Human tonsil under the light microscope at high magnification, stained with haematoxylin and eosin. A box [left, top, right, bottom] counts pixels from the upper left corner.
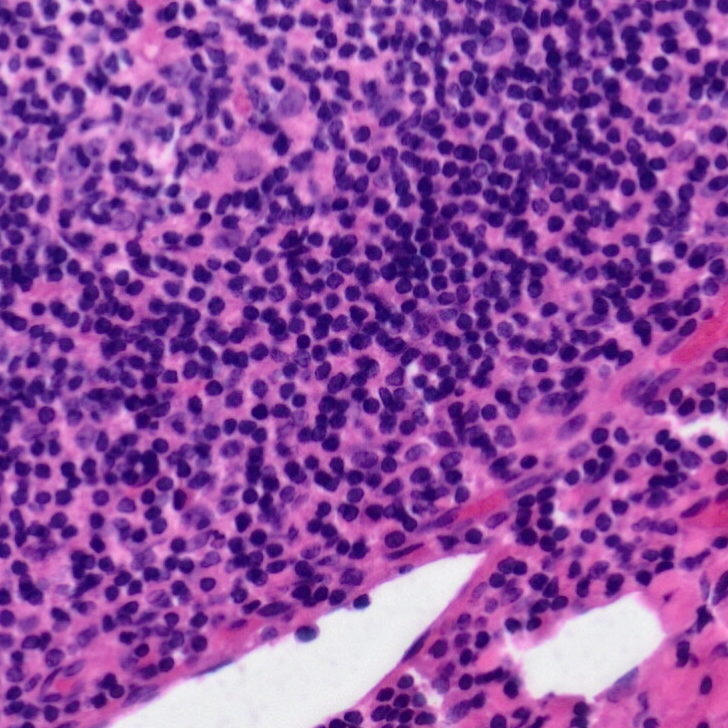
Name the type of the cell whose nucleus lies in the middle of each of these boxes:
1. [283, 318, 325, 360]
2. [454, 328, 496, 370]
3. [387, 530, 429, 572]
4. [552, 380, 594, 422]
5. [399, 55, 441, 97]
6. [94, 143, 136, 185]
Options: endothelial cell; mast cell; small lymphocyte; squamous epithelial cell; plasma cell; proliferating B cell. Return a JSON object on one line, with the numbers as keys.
{"1": "small lymphocyte", "2": "small lymphocyte", "3": "endothelial cell", "4": "endothelial cell", "5": "small lymphocyte", "6": "small lymphocyte"}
